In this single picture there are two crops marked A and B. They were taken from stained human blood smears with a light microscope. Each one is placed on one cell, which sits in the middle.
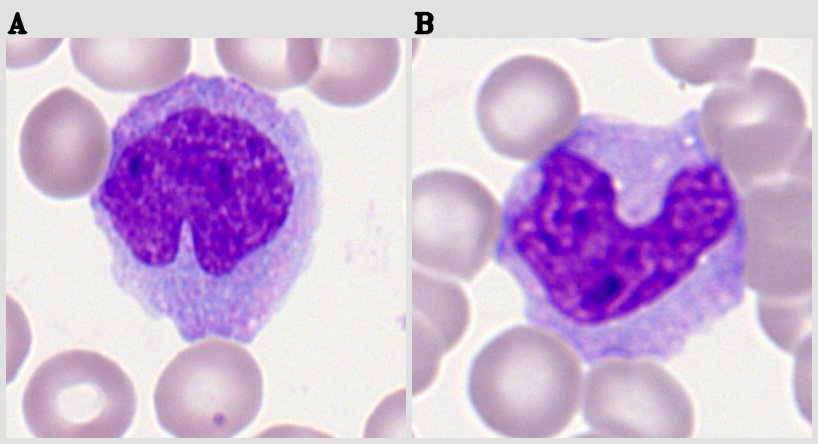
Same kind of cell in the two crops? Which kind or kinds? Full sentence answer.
Yes, at the centre of both crops are monocytes.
